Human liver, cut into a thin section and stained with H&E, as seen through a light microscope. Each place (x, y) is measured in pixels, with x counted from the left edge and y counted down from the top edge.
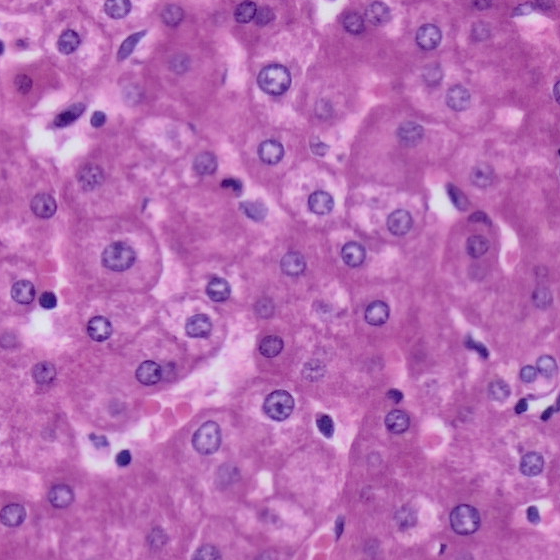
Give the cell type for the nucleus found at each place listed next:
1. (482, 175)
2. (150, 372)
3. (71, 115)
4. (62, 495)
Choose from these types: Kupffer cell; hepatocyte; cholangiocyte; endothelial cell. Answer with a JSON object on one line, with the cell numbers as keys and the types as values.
{"1": "hepatocyte", "2": "hepatocyte", "3": "Kupffer cell", "4": "hepatocyte"}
